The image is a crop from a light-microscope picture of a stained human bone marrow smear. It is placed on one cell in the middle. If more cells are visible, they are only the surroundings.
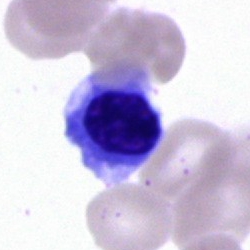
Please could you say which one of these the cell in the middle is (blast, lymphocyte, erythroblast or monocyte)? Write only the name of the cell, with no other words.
erythroblast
